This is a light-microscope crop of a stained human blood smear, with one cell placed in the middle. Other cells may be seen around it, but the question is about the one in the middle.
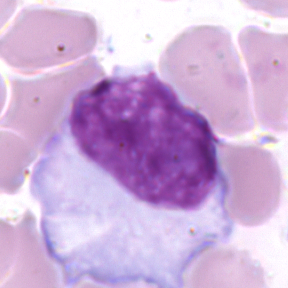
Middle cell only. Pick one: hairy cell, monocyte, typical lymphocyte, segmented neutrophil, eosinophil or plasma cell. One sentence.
The middle of this crop is occupied by a plasma cell.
